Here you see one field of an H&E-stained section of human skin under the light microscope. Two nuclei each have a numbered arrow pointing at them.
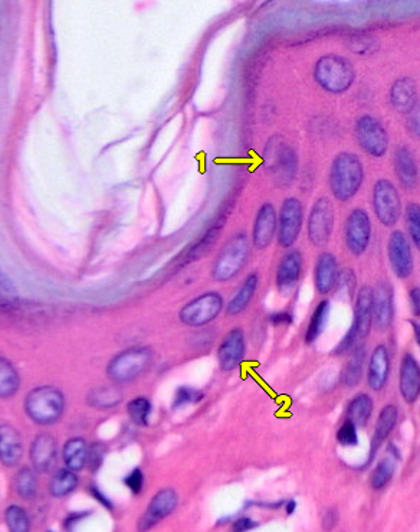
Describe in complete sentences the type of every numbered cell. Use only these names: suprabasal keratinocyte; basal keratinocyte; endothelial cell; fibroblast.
Cell 1 is a suprabasal keratinocyte and cell 2 is a basal keratinocyte.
